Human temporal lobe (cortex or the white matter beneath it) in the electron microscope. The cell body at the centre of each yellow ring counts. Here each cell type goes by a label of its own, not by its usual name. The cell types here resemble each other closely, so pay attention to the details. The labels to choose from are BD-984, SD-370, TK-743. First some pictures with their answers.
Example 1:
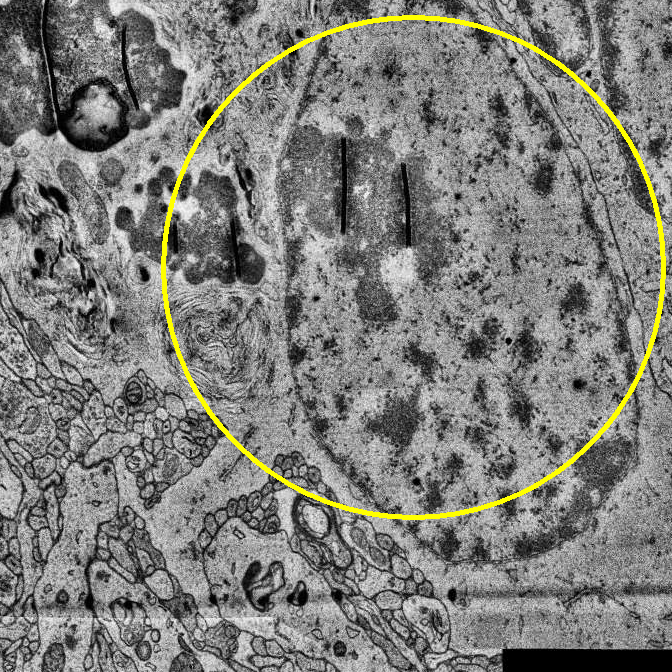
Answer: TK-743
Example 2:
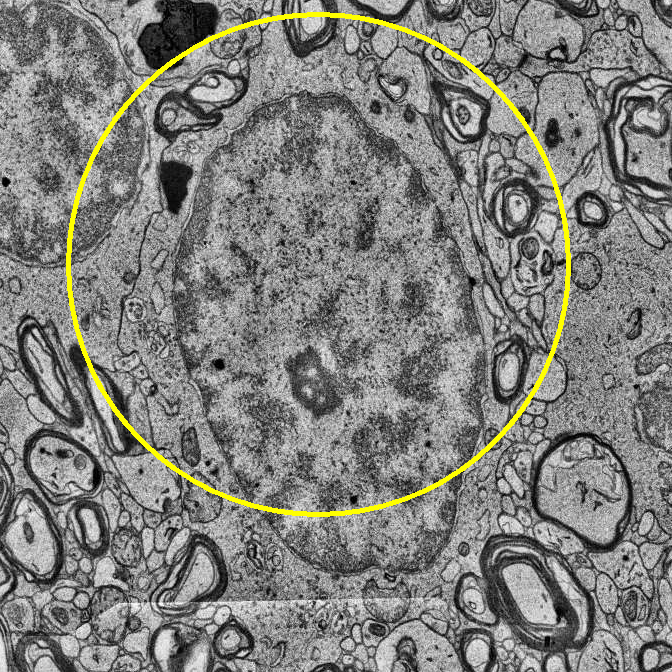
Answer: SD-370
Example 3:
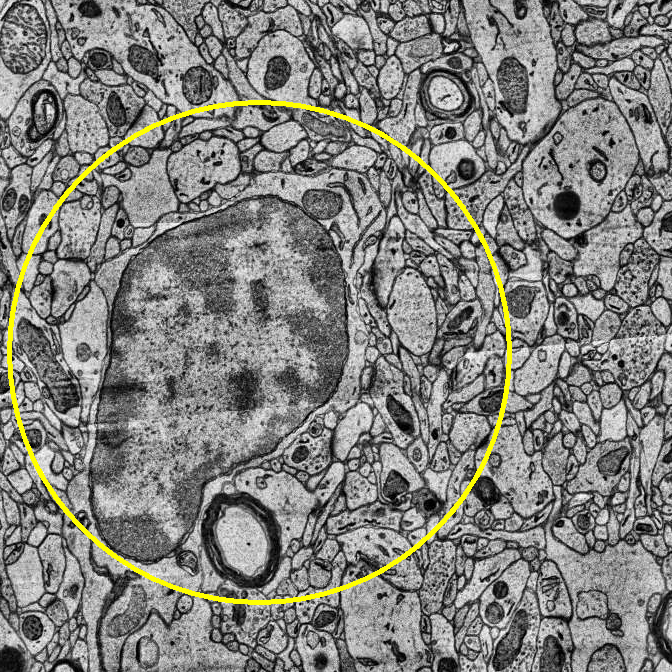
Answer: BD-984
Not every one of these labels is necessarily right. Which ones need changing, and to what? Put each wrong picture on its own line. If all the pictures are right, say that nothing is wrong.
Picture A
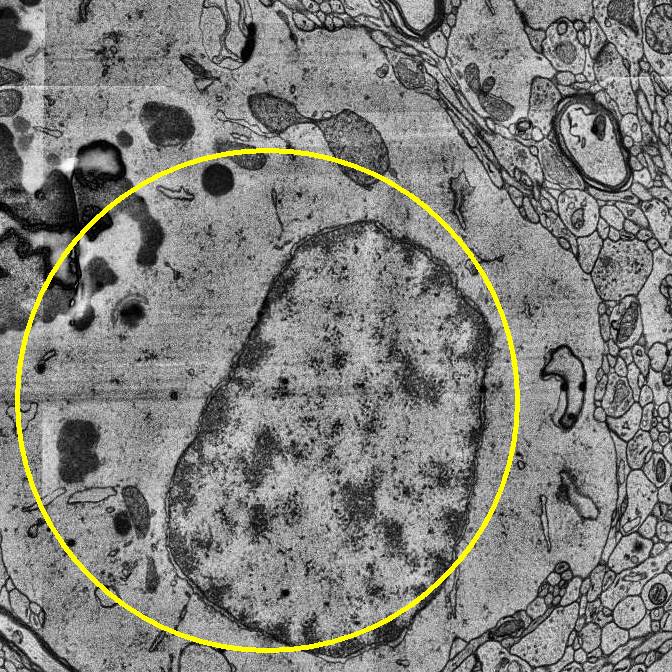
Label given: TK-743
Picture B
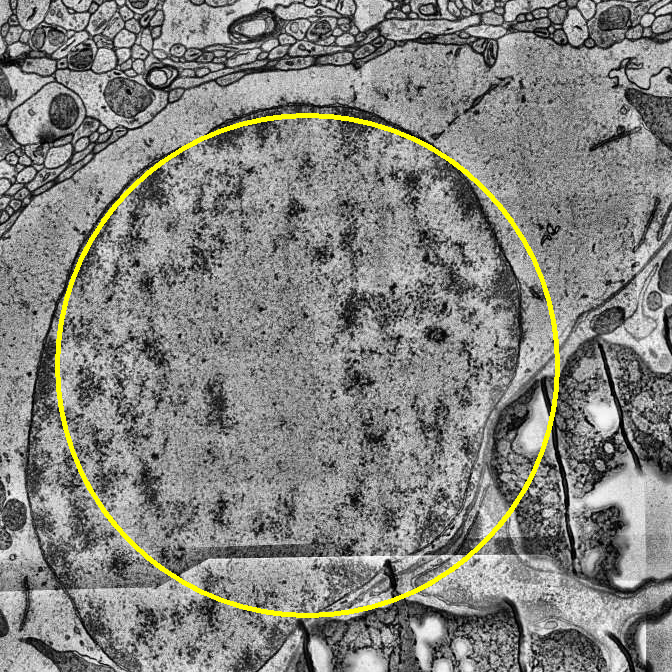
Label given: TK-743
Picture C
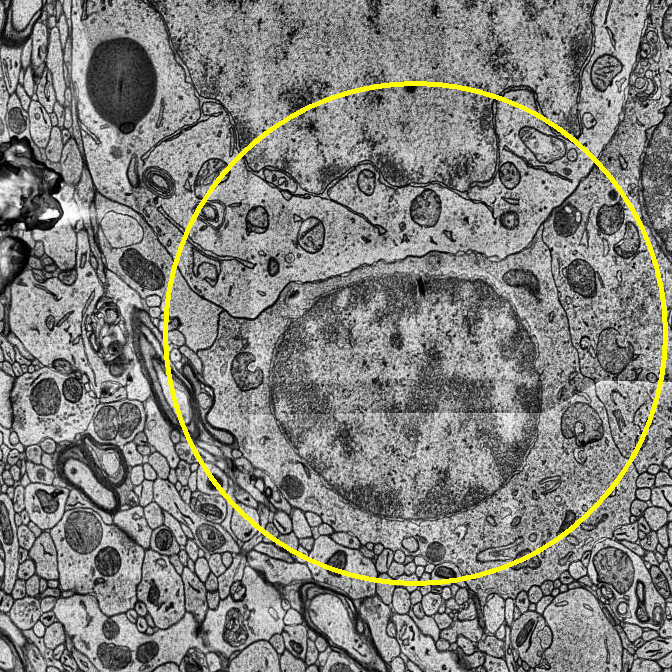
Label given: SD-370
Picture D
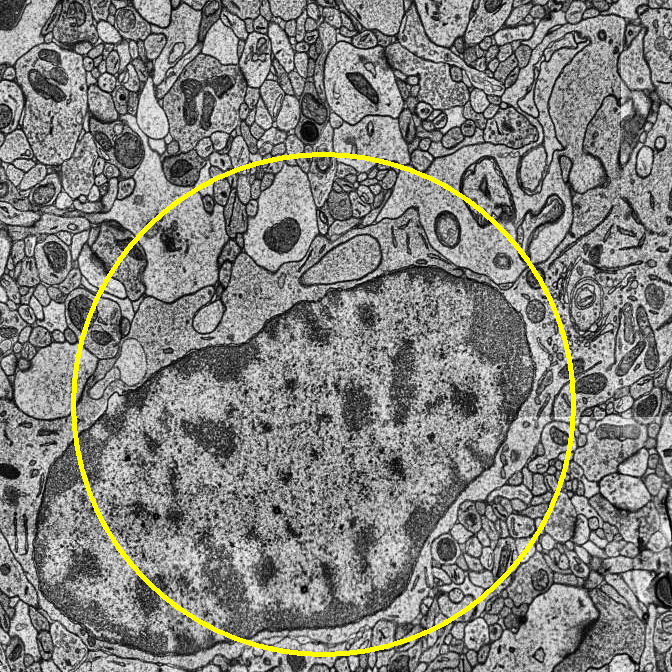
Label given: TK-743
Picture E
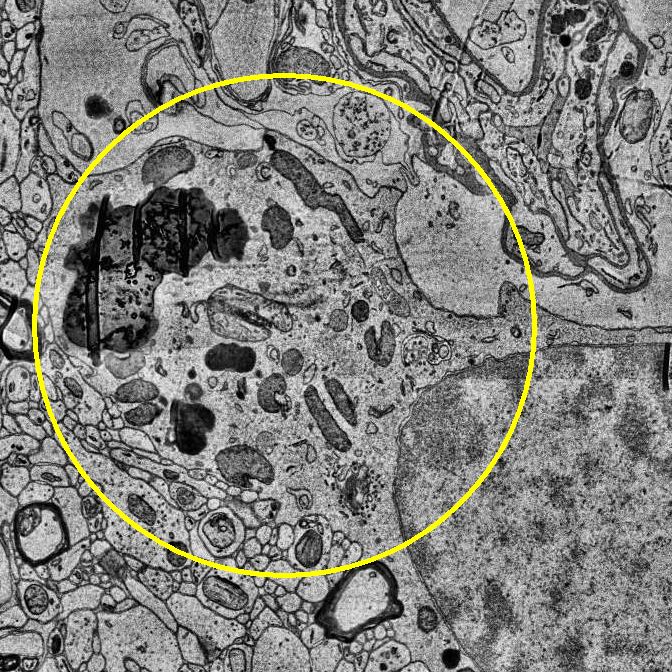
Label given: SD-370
D is labelled TK-743; correct label: BD-984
